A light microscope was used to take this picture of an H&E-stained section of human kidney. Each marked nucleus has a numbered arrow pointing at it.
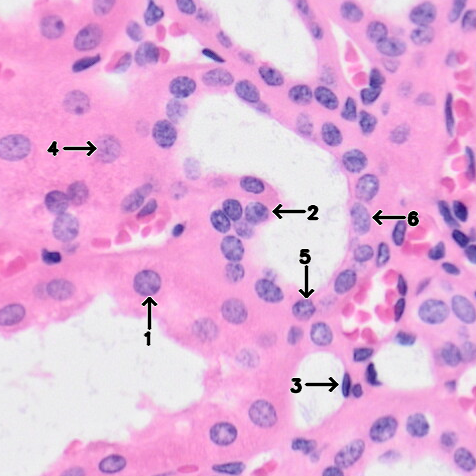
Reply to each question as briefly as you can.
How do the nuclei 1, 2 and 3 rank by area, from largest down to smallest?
1, 2, 3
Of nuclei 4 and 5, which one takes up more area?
4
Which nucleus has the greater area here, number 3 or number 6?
6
